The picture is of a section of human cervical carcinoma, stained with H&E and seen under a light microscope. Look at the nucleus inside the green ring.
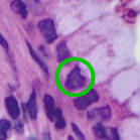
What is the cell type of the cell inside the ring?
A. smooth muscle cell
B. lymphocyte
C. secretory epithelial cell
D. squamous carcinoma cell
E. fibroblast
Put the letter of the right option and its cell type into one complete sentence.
Under option C, the cell inside the ring is listed as a secretory epithelial cell, which is correct.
